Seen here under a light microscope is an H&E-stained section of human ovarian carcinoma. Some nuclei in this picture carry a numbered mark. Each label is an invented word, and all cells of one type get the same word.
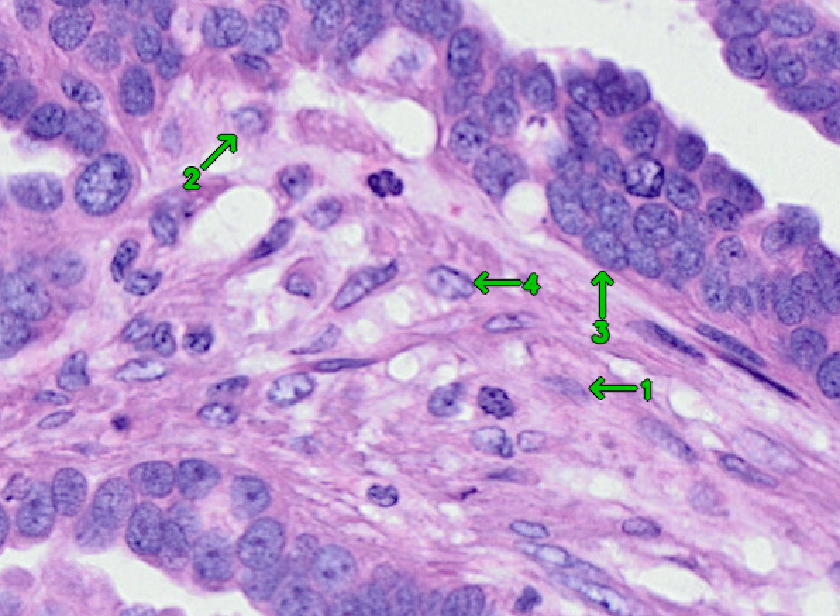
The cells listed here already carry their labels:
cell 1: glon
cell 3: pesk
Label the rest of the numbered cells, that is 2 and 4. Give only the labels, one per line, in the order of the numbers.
glon
glon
